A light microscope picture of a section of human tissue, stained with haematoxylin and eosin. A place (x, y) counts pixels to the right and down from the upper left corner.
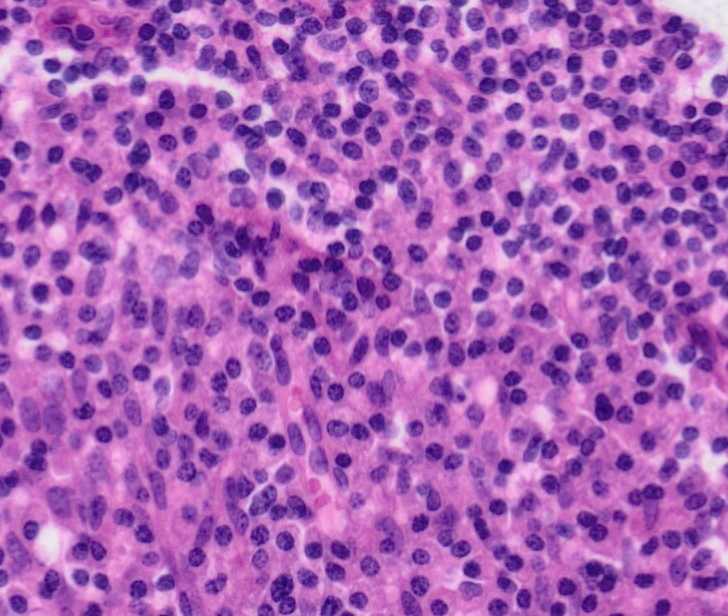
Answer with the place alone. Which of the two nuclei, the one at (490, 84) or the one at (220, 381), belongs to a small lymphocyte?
(490, 84)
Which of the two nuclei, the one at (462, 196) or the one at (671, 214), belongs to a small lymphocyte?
(671, 214)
